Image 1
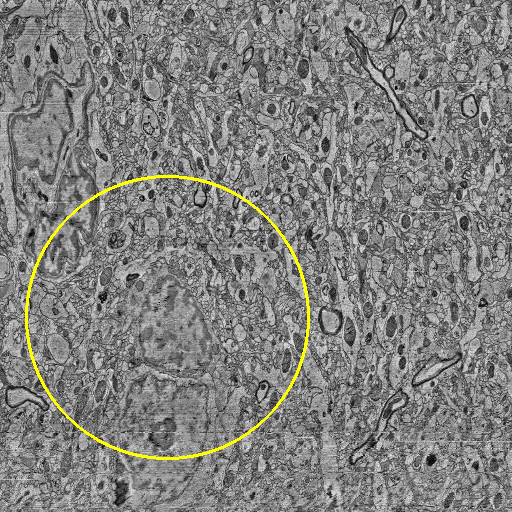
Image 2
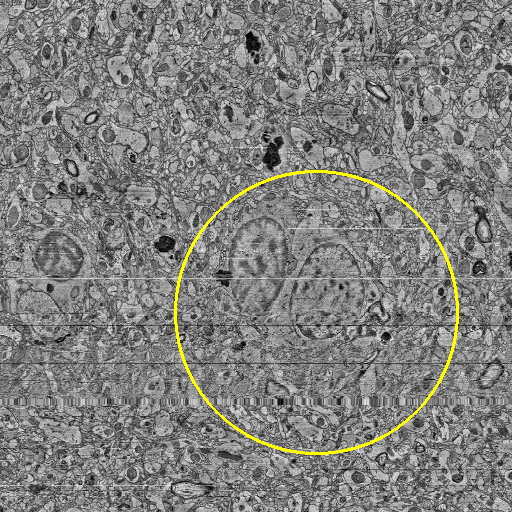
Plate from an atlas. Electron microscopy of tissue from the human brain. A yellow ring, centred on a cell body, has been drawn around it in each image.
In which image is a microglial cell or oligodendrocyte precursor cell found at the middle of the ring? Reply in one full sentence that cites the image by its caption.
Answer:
The requested cell is the one at the ring's centre in Image 2.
